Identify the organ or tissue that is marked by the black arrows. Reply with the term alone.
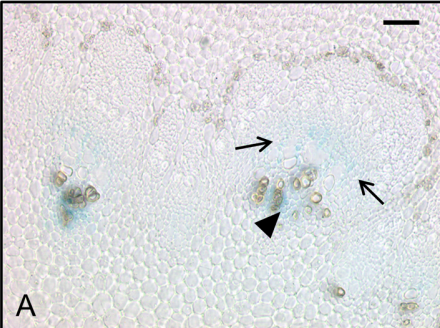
Procambium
